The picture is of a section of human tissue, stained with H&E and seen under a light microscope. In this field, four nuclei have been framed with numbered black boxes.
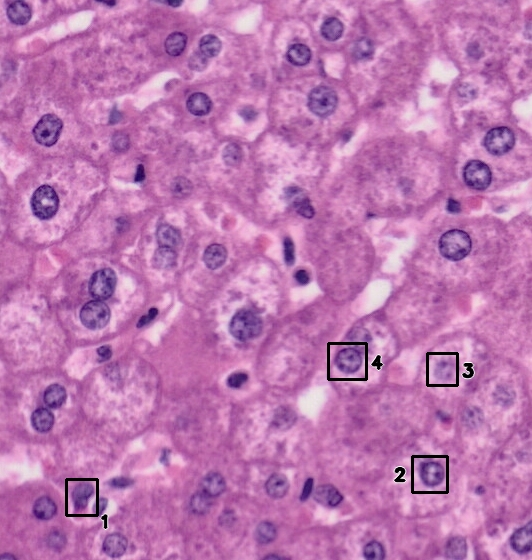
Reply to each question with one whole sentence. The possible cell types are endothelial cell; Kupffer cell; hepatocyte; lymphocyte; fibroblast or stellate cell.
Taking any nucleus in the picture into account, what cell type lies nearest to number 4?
It is a hepatocyte whose nucleus is nearest to number 4.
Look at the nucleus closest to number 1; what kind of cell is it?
Closest to number 1 lies the nucleus of a lymphocyte.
